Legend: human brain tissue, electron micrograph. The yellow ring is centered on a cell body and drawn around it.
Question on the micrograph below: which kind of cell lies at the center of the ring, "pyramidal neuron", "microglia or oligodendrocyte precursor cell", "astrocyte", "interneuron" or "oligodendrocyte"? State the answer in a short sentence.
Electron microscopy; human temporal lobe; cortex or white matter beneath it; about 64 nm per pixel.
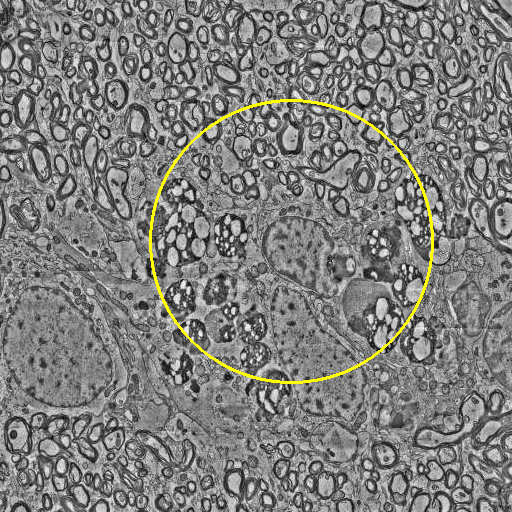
At the center of the ring lies a microglial cell or oligodendrocyte precursor cell.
